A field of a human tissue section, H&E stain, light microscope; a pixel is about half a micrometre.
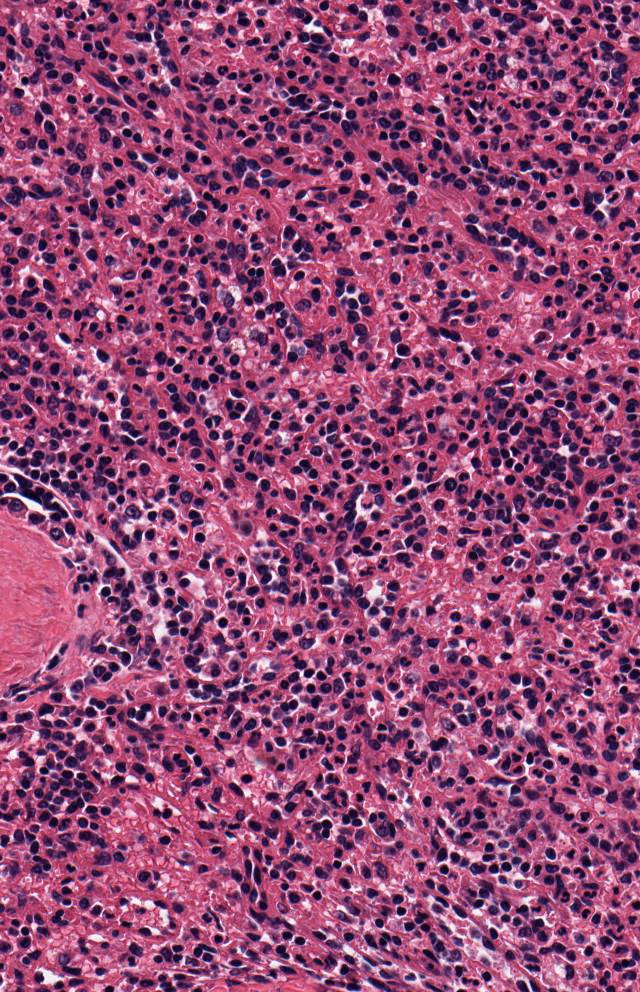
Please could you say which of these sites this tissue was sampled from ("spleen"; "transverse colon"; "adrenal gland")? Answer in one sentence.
The site this tissue was sampled from is the spleen.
